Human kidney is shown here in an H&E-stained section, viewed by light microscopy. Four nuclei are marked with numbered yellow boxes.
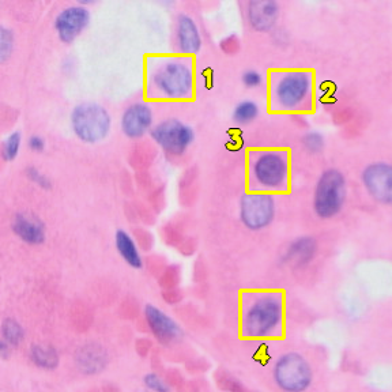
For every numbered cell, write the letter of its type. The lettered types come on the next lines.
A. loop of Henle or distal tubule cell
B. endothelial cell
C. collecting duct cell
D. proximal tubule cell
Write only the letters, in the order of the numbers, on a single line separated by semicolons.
A; B; D; D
